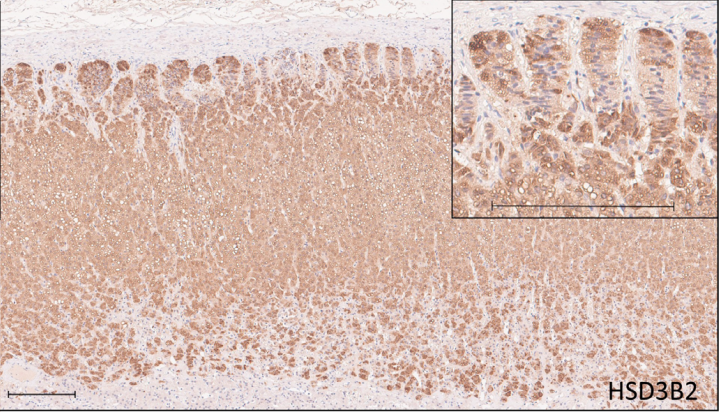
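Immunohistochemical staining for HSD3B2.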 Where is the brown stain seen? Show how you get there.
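The arched cell clusters just beneath the capsule are strongly brown. The radial cords of the middle cortex and the inner cortex are also brown.
Hence: all cortical layers.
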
